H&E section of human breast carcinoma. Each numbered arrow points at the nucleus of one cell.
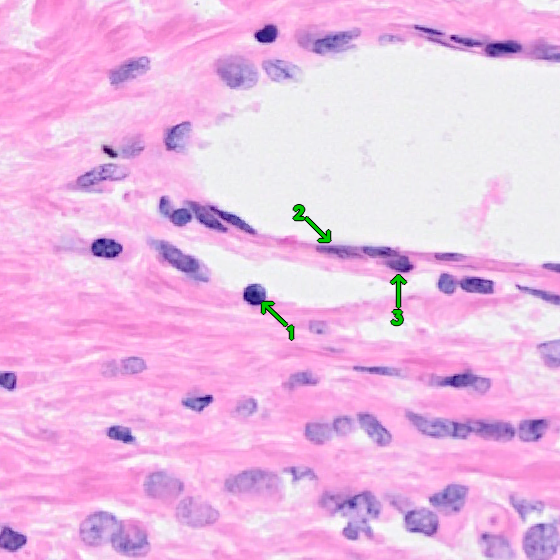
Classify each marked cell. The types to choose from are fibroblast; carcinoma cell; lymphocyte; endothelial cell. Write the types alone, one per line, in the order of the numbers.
lymphocyte
endothelial cell
endothelial cell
